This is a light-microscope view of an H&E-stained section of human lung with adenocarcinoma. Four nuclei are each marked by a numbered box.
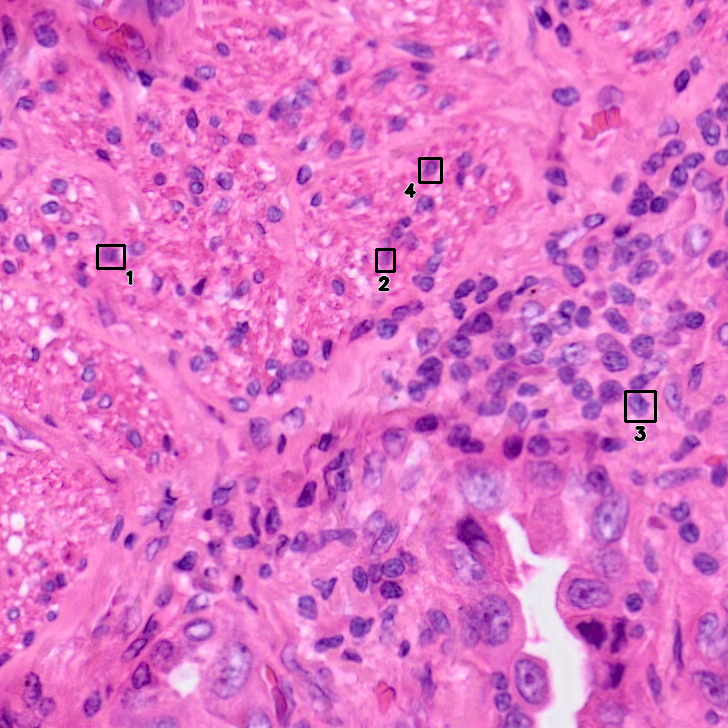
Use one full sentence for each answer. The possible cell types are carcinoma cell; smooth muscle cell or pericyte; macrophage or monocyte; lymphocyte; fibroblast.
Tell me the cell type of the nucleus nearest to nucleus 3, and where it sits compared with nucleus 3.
The closest nucleus belongs to a lymphocyte and sits above nucleus 3.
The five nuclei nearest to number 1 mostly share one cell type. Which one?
Smooth muscle cells or pericytes make up most of the five nuclei closest to number 1.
